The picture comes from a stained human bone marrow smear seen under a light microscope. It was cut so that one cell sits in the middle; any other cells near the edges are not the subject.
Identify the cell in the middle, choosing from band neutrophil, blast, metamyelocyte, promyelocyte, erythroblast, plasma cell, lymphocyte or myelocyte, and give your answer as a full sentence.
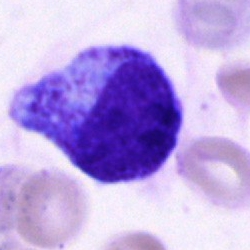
What sits at the centre of this crop is a promyelocyte.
